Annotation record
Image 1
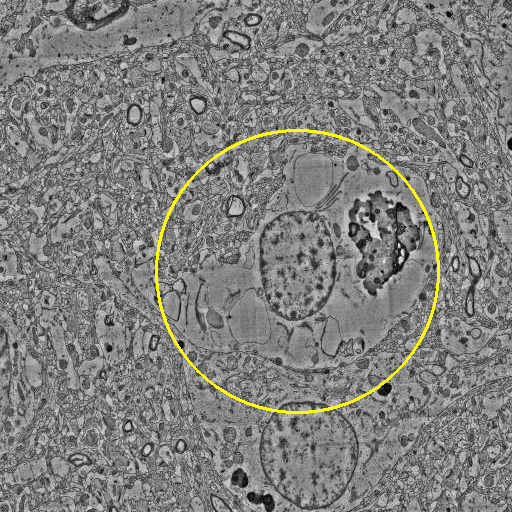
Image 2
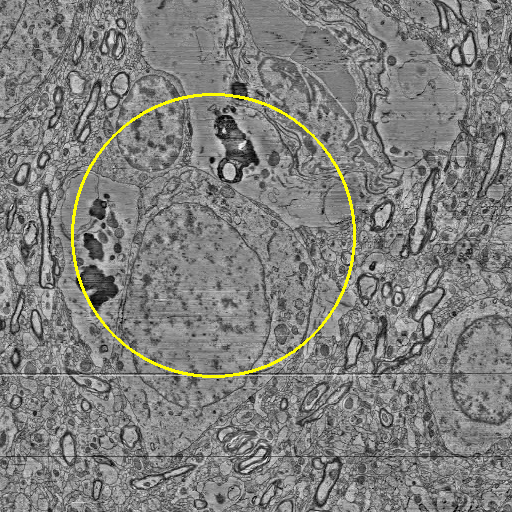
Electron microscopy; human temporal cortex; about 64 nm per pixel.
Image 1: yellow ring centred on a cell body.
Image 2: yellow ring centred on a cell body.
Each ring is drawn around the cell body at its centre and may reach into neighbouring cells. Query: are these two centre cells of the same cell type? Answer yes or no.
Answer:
no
